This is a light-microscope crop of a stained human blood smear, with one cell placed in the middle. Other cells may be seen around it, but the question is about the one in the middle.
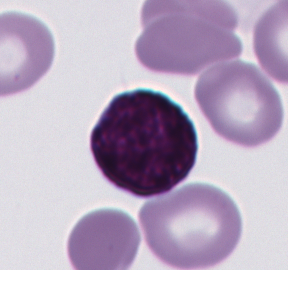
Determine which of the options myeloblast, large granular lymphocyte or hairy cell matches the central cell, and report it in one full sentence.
The cell at the middle of the crop is recognized as a myeloblast.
